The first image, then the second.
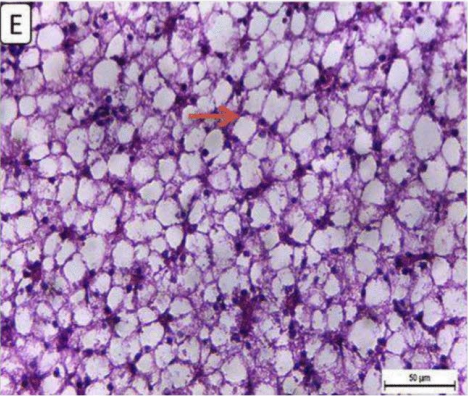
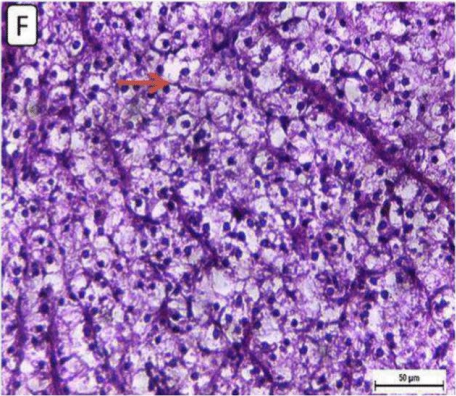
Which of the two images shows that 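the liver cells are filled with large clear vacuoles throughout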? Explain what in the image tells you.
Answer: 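Second image: cells are denser and more purple, with smaller and fewer clear spaces and many visible nuclei. First image: nearly every cell is a large clear space with a thin pink rim.
Conclusion: the first image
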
